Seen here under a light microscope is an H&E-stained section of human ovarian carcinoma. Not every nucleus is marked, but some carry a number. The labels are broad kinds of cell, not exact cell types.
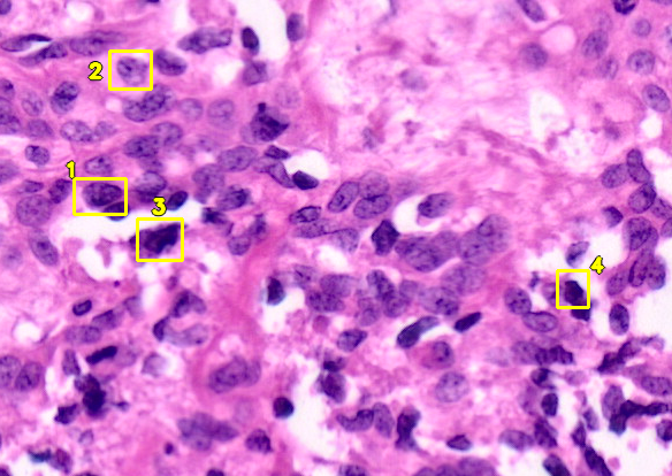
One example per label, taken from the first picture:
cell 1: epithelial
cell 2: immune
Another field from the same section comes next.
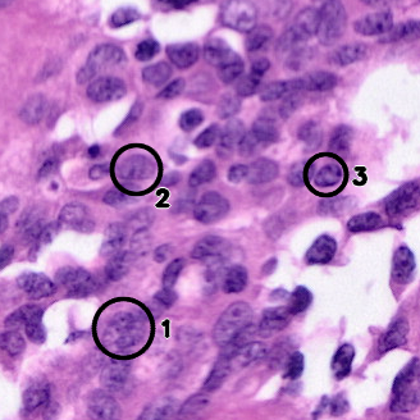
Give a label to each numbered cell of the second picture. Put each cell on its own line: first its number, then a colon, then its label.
1: epithelial
2: epithelial
3: immune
